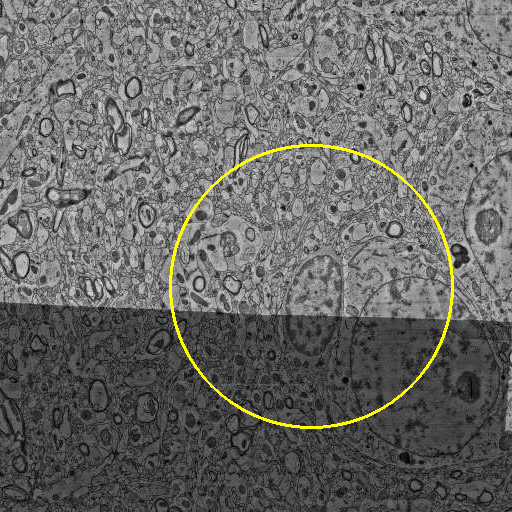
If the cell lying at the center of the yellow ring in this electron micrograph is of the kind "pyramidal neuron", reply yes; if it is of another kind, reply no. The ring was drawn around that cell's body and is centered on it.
no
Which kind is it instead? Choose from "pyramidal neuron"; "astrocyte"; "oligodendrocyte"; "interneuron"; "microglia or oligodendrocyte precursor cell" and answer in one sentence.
Instead, what sits at the centre of the ring is an oligodendrocyte.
